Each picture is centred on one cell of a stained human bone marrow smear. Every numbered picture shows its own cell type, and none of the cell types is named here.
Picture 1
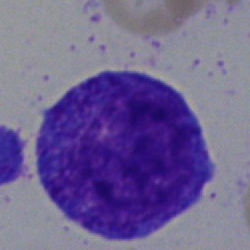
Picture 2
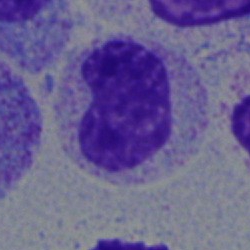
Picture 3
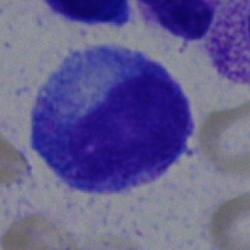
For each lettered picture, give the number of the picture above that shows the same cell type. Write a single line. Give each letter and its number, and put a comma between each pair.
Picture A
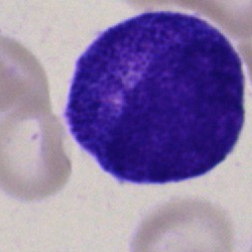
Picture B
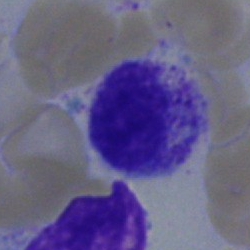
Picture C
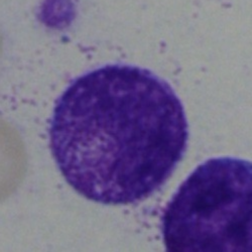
A 1, B 3, C 2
